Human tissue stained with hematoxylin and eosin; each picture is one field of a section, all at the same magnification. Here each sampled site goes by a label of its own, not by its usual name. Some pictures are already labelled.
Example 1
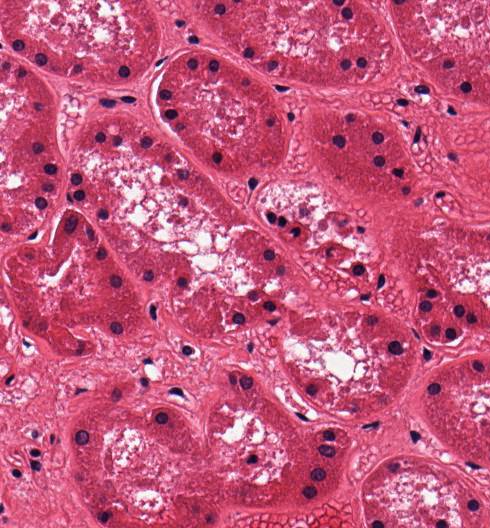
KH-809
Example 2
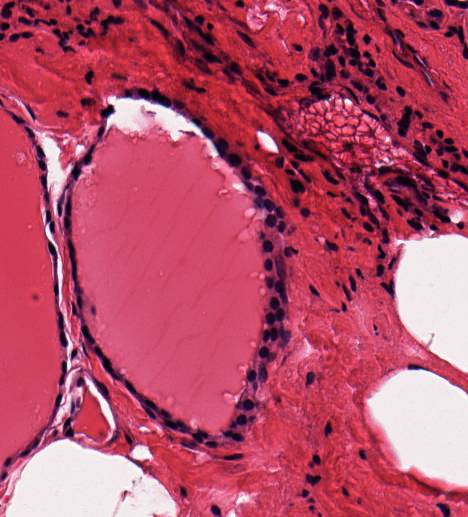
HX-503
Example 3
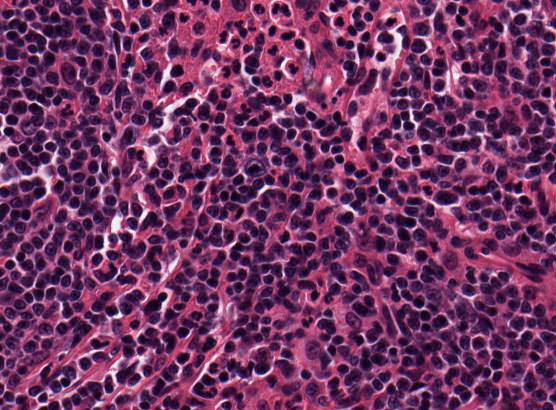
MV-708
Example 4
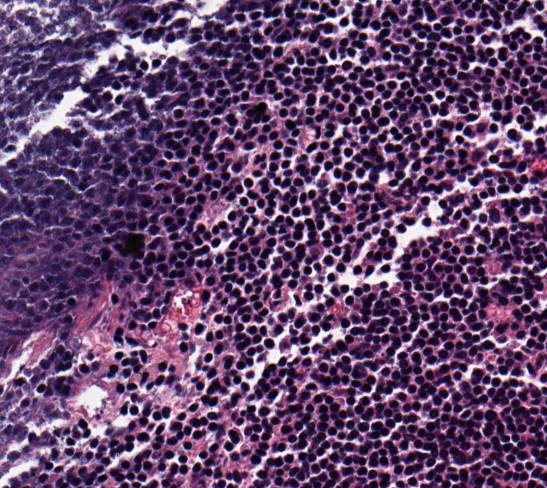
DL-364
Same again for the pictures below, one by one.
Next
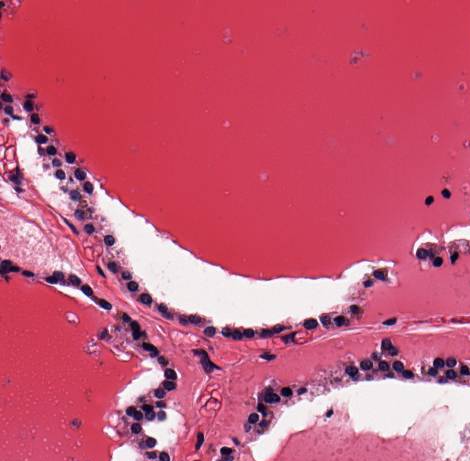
HX-503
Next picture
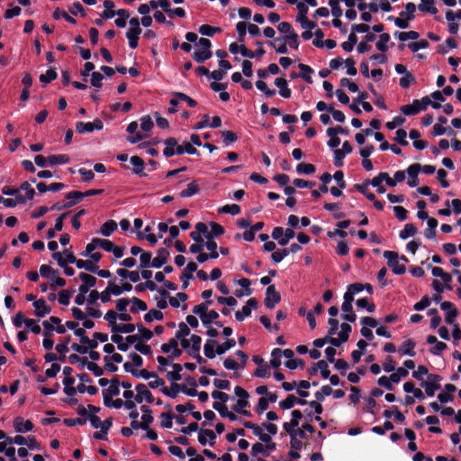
DL-364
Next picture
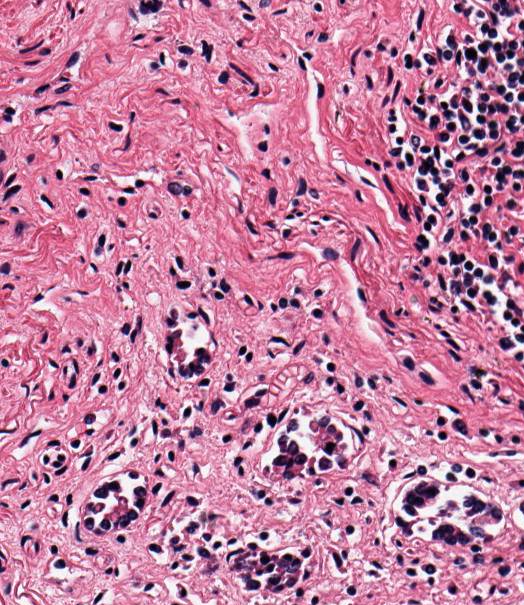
DL-364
